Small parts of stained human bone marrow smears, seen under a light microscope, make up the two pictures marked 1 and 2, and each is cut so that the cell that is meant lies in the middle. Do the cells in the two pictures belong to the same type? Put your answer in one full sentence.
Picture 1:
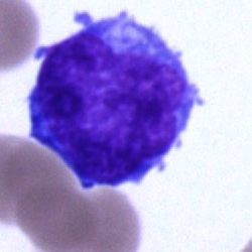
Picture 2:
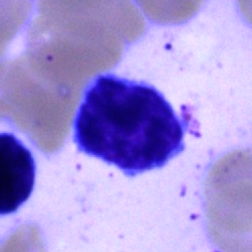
No, picture 1 shows a blast and picture 2 shows a lymphocyte.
